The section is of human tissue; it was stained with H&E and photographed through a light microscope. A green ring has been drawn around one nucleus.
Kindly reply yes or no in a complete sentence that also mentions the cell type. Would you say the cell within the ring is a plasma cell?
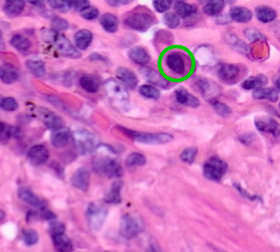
Yes, where cell type is concerned, the cell within the ring is a plasma cell.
